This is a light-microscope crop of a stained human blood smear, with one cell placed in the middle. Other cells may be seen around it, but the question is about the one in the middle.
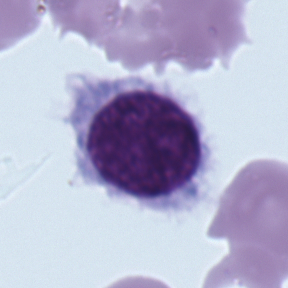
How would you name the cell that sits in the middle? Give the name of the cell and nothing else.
hairy cell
